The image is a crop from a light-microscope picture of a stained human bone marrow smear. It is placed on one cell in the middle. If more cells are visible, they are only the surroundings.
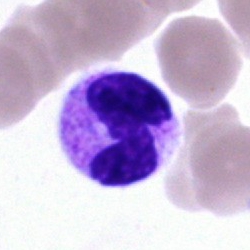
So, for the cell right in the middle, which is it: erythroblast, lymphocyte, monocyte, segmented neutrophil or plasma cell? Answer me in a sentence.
In this crop, the cell at the very middle is a segmented neutrophil.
